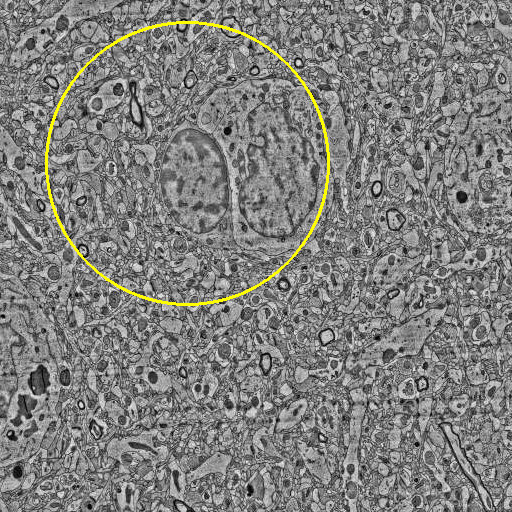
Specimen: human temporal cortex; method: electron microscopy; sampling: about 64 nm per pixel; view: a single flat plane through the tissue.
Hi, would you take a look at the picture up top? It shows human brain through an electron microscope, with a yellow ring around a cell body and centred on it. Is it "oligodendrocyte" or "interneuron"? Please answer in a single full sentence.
The best fit for the cell in the middle of the ring is an oligodendrocyte, I reckon.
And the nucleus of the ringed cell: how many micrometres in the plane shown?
In this plane the nucleus is roughly 7 by 4 micrometres, clearly longer than it is wide.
